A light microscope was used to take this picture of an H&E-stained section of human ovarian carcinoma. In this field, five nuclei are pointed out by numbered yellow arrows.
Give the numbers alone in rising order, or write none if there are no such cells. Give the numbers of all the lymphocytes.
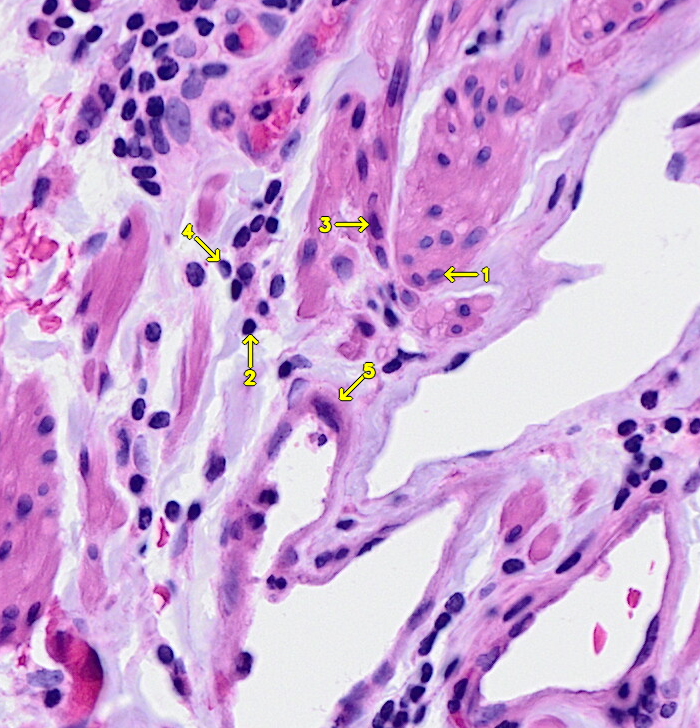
2, 4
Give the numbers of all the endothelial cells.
5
